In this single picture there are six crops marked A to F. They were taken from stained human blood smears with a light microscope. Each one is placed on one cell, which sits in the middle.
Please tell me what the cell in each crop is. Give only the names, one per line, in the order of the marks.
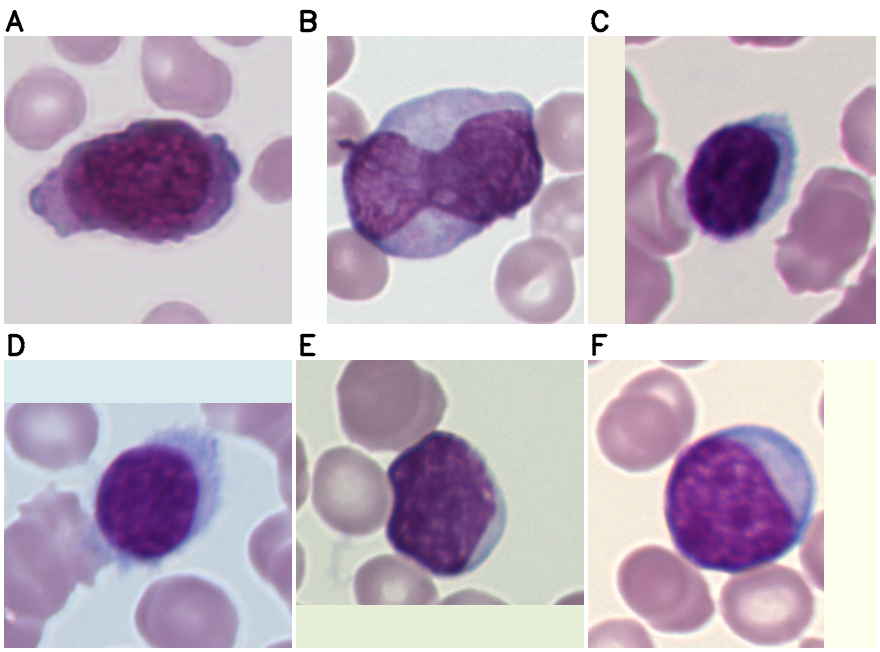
atypical promyelocyte
atypical promyelocyte
hairy cell
hairy cell
myeloblast
myeloblast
